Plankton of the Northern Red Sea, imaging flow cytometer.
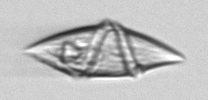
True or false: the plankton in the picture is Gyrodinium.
True.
